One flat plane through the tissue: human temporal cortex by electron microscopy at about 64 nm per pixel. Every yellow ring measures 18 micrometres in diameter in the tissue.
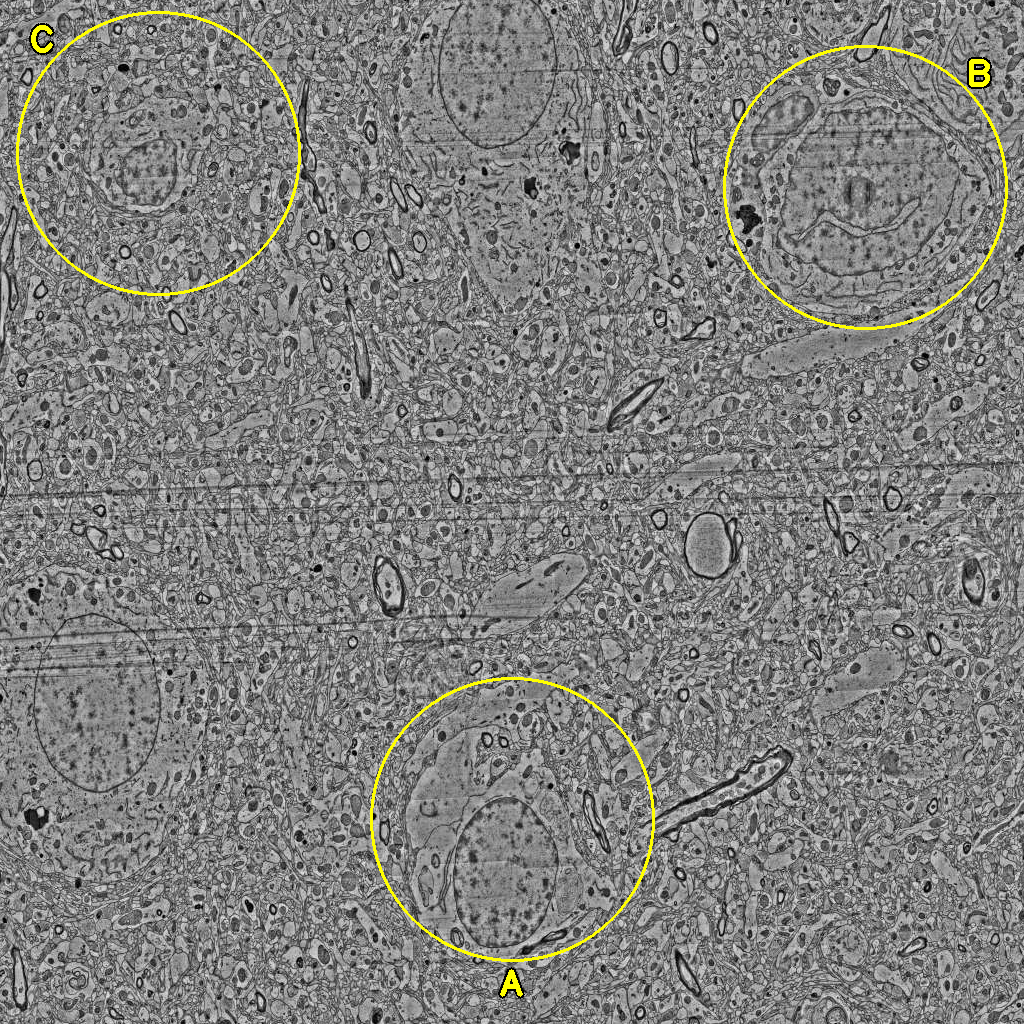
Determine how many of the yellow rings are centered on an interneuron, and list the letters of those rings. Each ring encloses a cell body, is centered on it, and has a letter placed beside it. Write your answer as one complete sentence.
For the rings with the letters B and C, of which there are two, the centre of each is an interneuron.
